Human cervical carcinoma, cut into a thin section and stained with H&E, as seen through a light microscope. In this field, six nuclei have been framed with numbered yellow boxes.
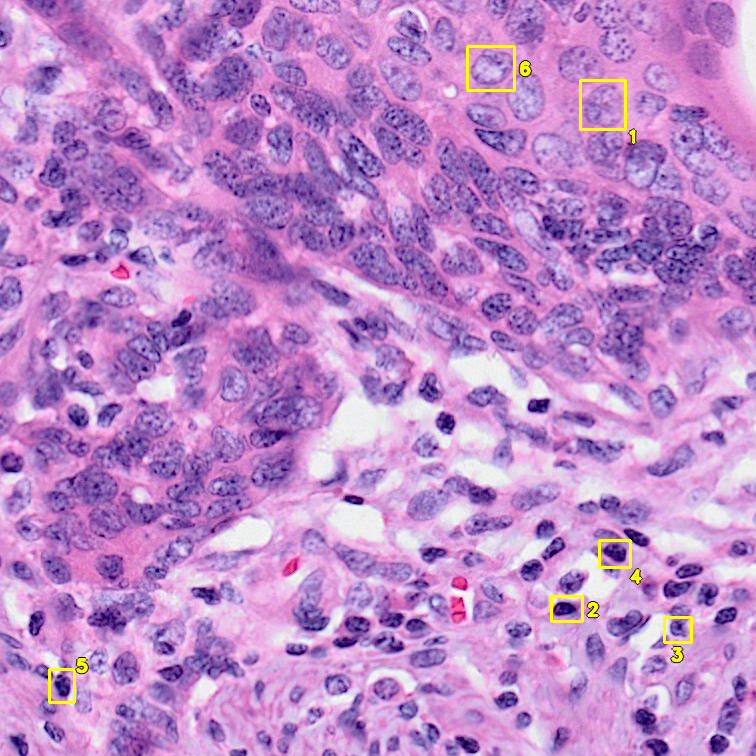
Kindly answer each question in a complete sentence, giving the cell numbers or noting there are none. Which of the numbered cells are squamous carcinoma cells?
The cells numbered 1 and 6 are of one kind: squamous carcinoma cells.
